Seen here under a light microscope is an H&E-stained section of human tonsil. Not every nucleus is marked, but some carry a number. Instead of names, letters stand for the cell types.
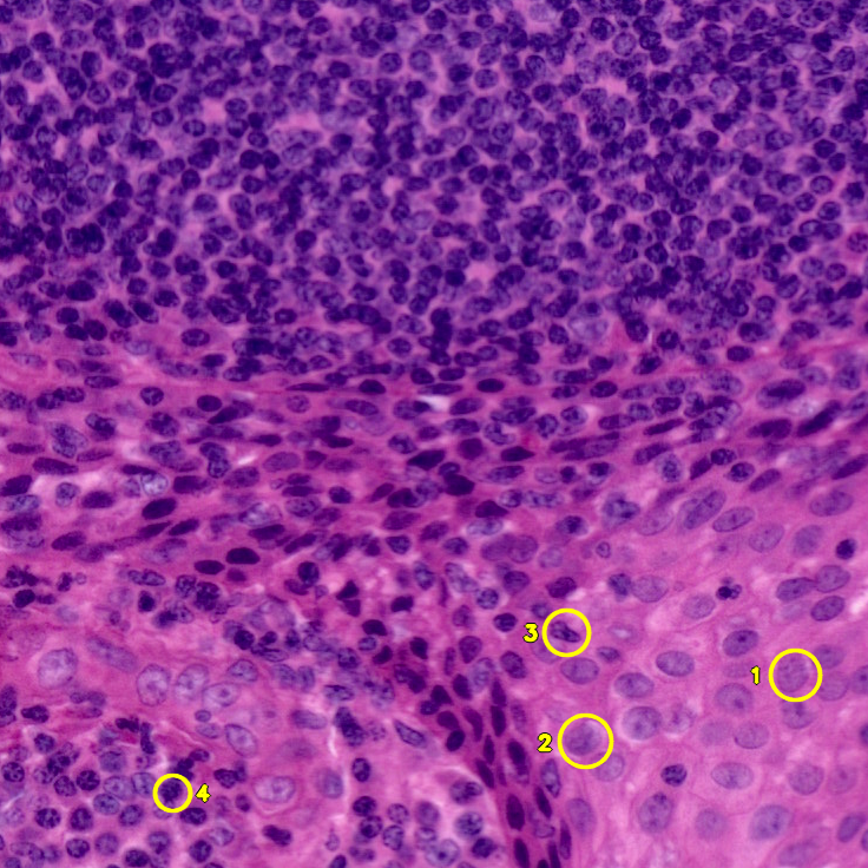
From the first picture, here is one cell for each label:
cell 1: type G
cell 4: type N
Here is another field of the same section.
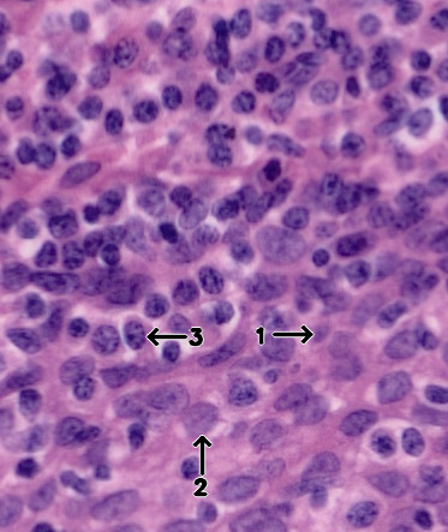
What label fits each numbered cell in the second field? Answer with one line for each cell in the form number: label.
1: type G
2: type G
3: type N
